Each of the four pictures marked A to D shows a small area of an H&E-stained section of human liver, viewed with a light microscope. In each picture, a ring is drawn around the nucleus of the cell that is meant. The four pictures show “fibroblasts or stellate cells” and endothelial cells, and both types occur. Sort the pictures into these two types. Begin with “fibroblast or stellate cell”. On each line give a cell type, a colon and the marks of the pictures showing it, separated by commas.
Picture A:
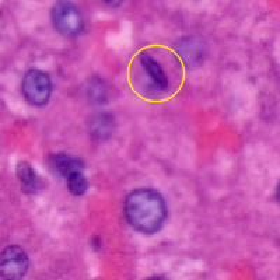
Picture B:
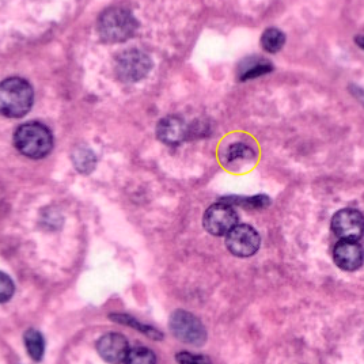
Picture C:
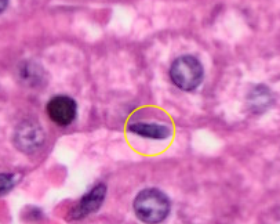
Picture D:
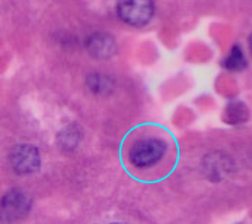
fibroblast or stellate cell: A, B, D
endothelial cell: C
